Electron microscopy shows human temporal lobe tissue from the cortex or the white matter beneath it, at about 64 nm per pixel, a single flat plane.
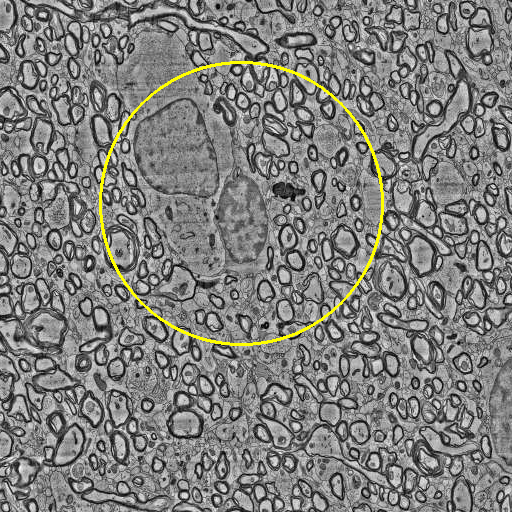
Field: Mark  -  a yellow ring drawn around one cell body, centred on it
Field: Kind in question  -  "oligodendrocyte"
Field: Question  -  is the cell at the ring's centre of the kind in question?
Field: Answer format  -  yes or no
yes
